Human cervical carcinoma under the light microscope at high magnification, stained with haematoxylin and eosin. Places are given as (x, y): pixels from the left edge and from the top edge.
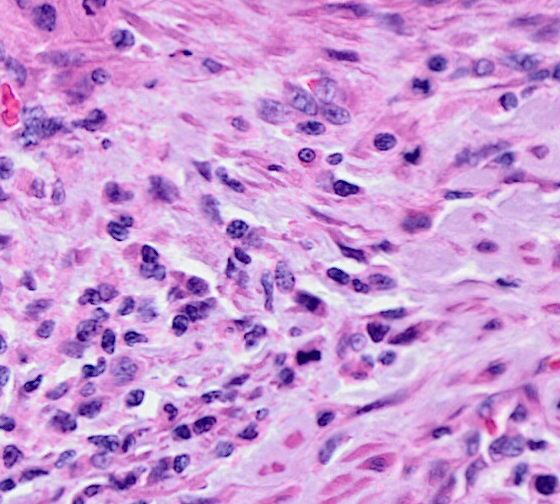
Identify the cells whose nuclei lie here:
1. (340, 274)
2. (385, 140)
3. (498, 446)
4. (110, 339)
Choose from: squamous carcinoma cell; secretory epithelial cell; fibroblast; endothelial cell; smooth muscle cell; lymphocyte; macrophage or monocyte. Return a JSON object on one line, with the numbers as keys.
{"1": "lymphocyte", "2": "lymphocyte", "3": "endothelial cell", "4": "lymphocyte"}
